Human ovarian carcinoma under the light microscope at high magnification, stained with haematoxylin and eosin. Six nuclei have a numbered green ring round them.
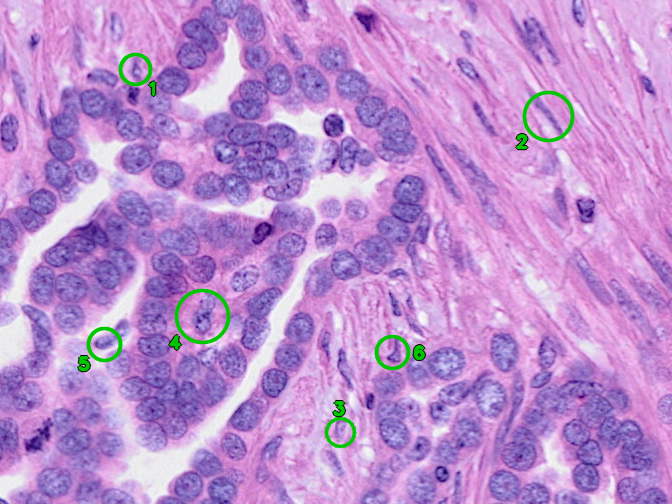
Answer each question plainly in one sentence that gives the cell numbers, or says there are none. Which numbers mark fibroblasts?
The cells tagged 1, 2, 3 and 6 are fibroblasts in this tissue section.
